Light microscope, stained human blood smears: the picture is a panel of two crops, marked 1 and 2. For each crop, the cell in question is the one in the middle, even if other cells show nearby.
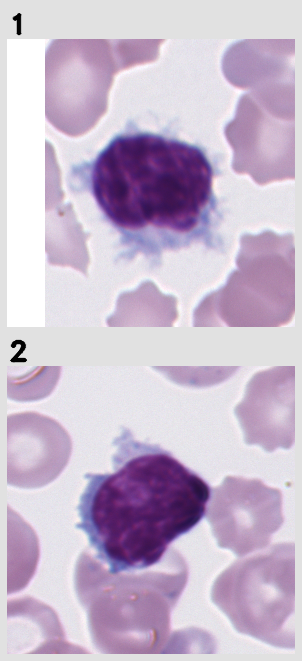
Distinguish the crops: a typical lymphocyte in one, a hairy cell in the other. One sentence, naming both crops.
The designated cell in crop 1 is a hairy cell, and the designated cell in crop 2 is a typical lymphocyte.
